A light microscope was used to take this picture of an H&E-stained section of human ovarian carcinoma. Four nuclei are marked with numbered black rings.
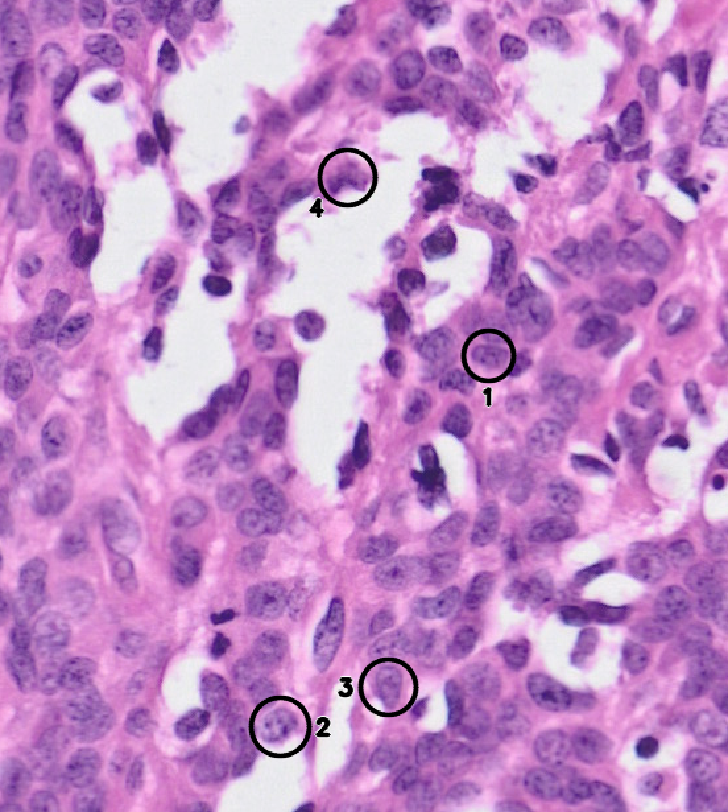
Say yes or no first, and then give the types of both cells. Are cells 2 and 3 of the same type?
No, listen: cell 2 is a macrophage or monocyte and cell 3 is a carcinoma cell.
